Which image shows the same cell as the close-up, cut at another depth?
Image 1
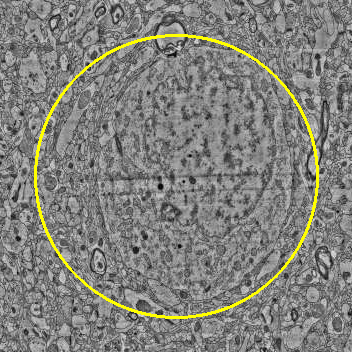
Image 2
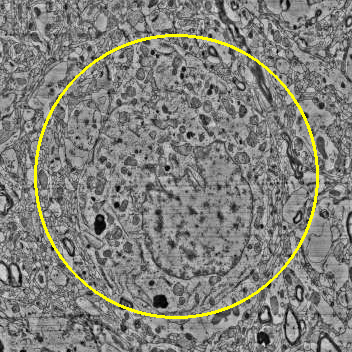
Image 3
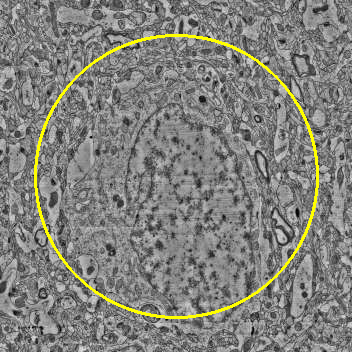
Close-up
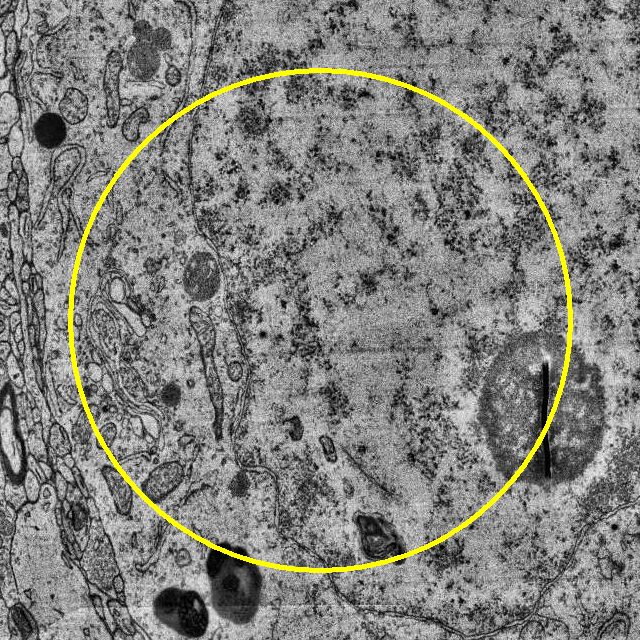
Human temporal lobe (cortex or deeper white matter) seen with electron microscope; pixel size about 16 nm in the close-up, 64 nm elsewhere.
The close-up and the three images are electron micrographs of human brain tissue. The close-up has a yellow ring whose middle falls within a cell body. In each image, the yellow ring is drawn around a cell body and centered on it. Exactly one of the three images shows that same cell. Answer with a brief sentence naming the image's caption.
The close-up depicts the ringed cell from Image 1.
